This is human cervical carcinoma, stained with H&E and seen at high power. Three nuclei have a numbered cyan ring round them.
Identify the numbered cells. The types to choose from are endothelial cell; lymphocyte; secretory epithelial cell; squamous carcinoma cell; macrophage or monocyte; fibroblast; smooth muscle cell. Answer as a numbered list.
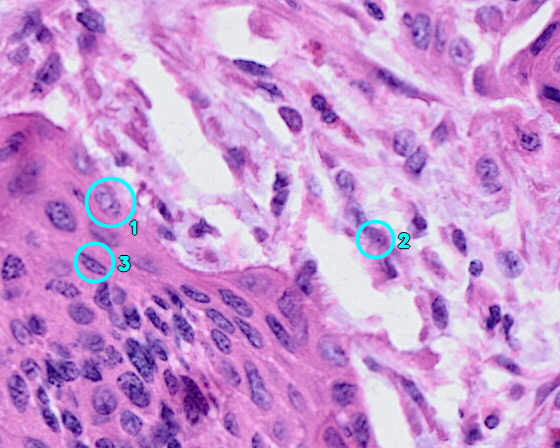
1. squamous carcinoma cell
2. fibroblast
3. squamous carcinoma cell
